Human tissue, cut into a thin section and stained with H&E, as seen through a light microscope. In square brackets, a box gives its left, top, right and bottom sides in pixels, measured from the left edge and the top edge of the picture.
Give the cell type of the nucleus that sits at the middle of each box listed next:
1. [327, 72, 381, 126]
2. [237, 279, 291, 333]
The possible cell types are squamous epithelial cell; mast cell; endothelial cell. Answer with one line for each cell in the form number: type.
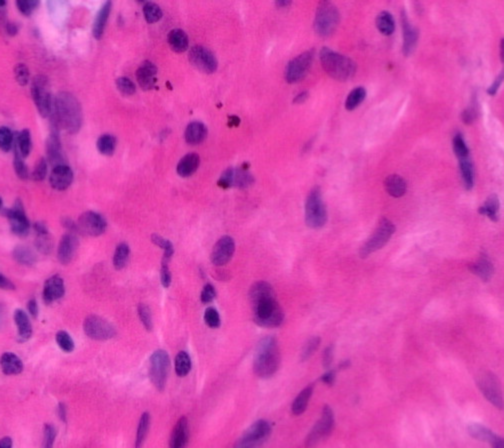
1: mast cell
2: endothelial cell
